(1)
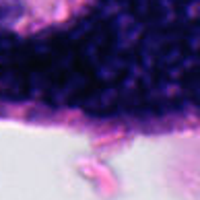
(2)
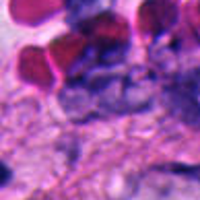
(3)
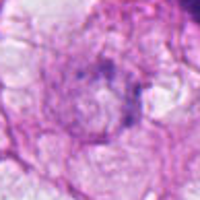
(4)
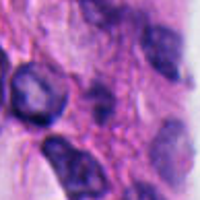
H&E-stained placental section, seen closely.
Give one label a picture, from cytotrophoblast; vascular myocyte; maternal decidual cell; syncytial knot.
(1) syncytial knot
(2) vascular myocyte
(3) maternal decidual cell
(4) cytotrophoblast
